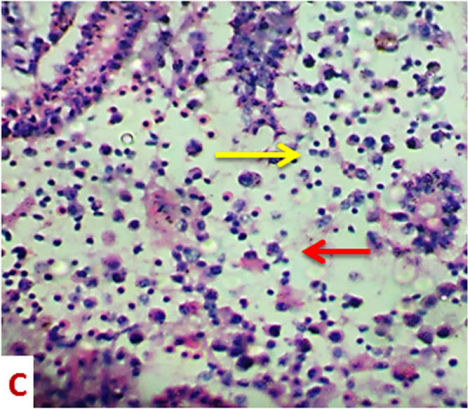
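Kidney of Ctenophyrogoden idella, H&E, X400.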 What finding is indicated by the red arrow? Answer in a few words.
Focal area of necrosis.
